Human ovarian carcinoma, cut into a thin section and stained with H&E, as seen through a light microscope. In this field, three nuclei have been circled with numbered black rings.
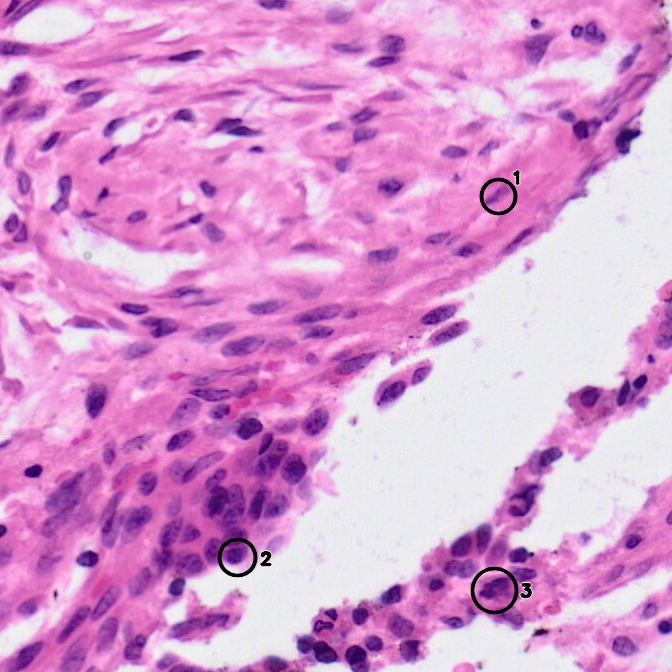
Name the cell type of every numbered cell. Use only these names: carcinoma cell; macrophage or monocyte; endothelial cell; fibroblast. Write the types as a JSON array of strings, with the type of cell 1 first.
["fibroblast", "carcinoma cell", "carcinoma cell"]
